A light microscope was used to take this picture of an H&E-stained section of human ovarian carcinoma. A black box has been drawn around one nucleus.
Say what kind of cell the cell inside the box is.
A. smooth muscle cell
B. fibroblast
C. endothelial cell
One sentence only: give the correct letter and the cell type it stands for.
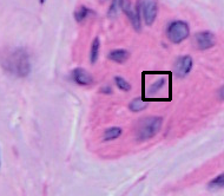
It is option A that is correct, the cell inside the box being a smooth muscle cell.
